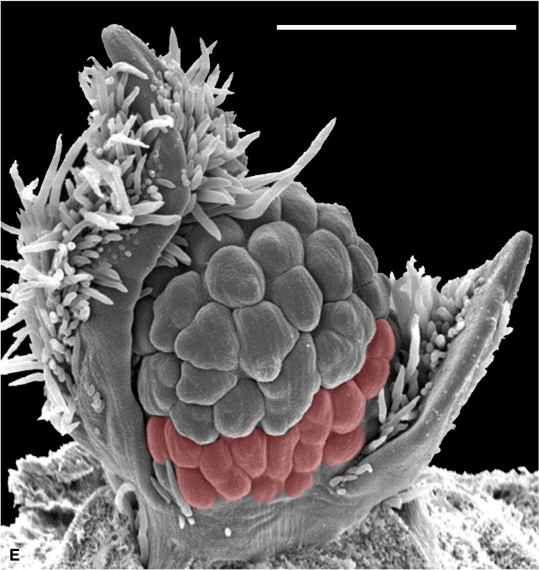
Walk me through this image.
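This is a reproductive meristem seen by scanning electron microscopy: a rounded dome packed with many small flower primordia, flanked by pointed, densely hairy bracts. The primordia are rounded bulges set close together in rows around the dome, and the lowest ring of them, shaded red, is smaller and less developed than the bulges higher up.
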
